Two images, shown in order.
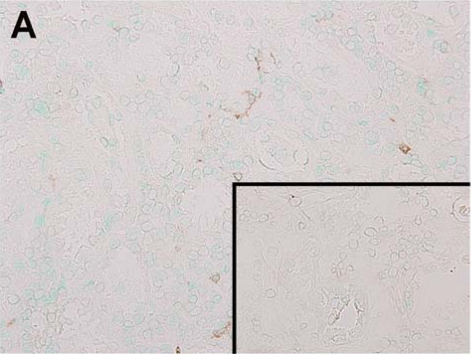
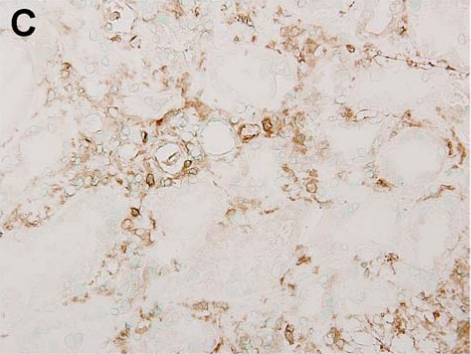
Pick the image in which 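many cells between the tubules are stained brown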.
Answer: the second image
